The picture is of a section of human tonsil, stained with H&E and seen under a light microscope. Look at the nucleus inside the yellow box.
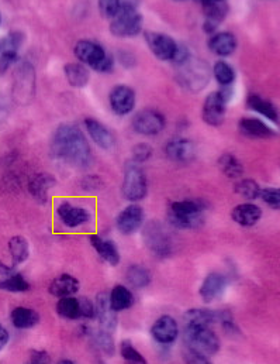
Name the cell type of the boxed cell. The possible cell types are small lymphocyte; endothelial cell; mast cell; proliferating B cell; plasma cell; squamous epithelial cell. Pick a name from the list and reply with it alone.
mast cell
